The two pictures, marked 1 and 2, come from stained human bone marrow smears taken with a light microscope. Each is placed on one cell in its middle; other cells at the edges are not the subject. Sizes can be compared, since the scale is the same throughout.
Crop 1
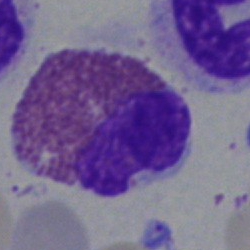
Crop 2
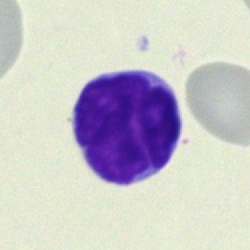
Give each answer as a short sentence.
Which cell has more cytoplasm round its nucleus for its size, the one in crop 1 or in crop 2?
The nucleus fills less of the cell in crop 1 than in crop 2.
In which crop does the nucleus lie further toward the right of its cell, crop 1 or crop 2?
The nucleus in crop 1 lies further toward the right of its cell.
